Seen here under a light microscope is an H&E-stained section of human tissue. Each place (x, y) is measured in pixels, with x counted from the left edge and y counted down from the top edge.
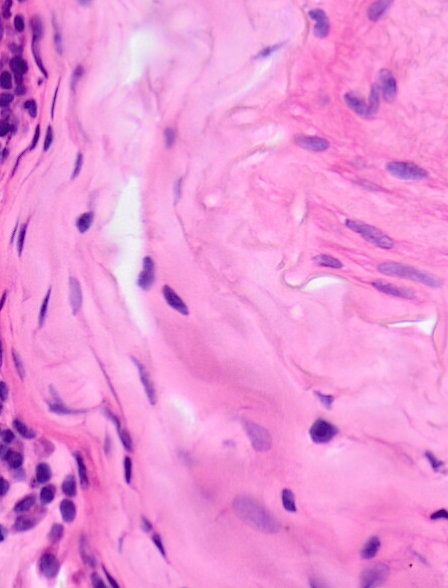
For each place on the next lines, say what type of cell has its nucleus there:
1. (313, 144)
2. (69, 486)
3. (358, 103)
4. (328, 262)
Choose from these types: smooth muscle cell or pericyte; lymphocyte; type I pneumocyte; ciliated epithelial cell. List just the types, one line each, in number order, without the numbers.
smooth muscle cell or pericyte
lymphocyte
smooth muscle cell or pericyte
smooth muscle cell or pericyte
